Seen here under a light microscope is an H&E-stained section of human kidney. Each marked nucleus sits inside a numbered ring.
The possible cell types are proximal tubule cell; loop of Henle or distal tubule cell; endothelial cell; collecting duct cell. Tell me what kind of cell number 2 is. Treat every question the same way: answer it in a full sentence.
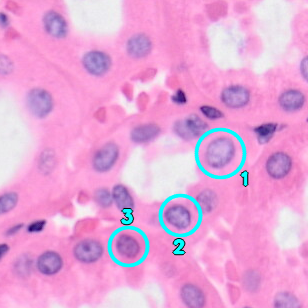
Here the cell numbered 2 is a loop of Henle or distal tubule cell.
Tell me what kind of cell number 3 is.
The cell numbered 3 has been identified as a proximal tubule cell.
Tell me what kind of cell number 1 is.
That cell with number 1 is a collecting duct cell.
